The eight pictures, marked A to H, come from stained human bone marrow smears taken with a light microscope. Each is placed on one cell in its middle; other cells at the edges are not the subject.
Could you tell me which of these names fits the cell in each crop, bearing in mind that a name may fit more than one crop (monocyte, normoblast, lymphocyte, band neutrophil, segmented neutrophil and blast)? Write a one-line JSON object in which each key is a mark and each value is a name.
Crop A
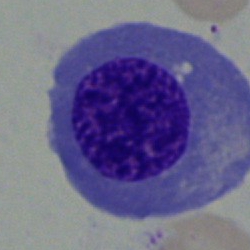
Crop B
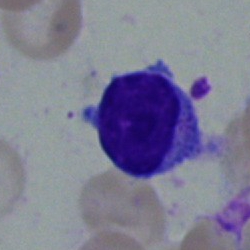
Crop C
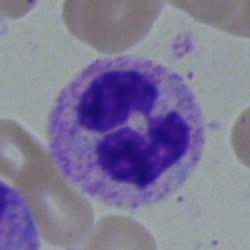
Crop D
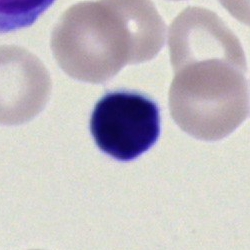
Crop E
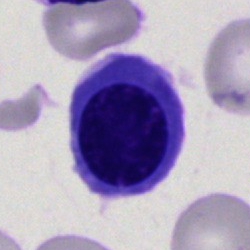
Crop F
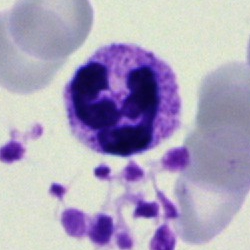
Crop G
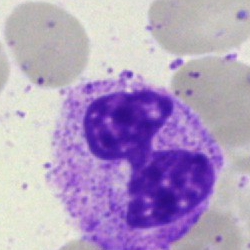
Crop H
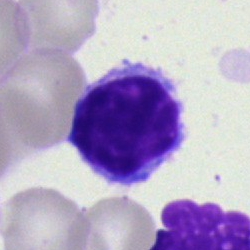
{"A": "normoblast", "B": "lymphocyte", "C": "segmented neutrophil", "D": "lymphocyte", "E": "normoblast", "F": "segmented neutrophil", "G": "segmented neutrophil", "H": "lymphocyte"}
